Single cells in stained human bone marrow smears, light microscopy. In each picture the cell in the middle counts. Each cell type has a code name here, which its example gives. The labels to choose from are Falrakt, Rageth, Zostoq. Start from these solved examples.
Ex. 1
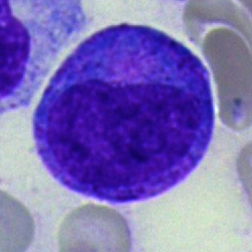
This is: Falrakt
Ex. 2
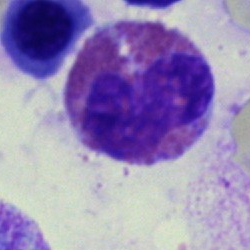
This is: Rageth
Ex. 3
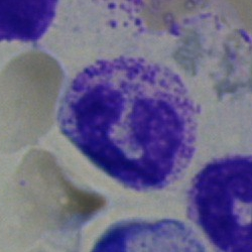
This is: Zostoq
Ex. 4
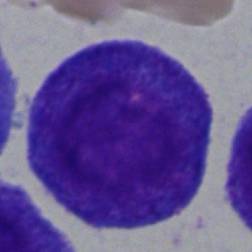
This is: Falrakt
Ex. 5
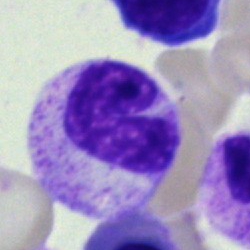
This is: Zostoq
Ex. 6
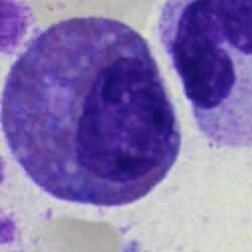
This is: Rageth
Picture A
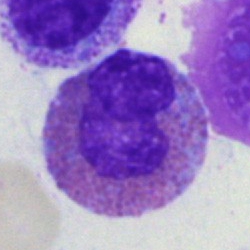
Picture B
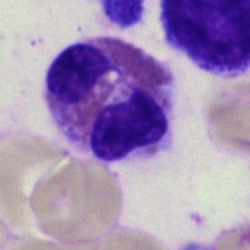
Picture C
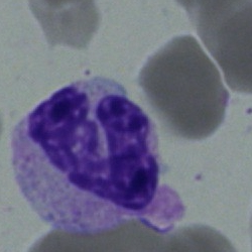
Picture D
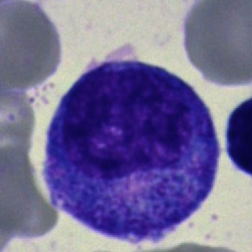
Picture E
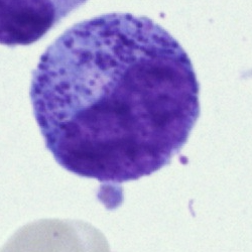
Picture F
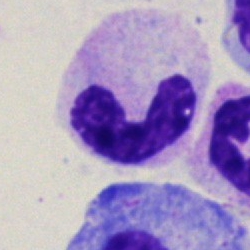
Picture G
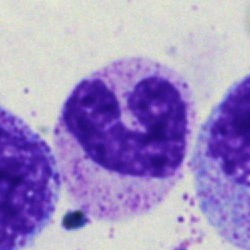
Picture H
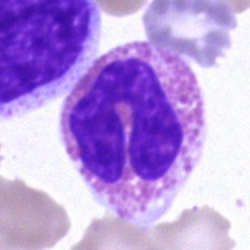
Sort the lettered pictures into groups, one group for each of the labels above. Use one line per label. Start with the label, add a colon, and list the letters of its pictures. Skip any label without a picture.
Falrakt: D, E
Rageth: A, B, H
Zostoq: C, F, G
